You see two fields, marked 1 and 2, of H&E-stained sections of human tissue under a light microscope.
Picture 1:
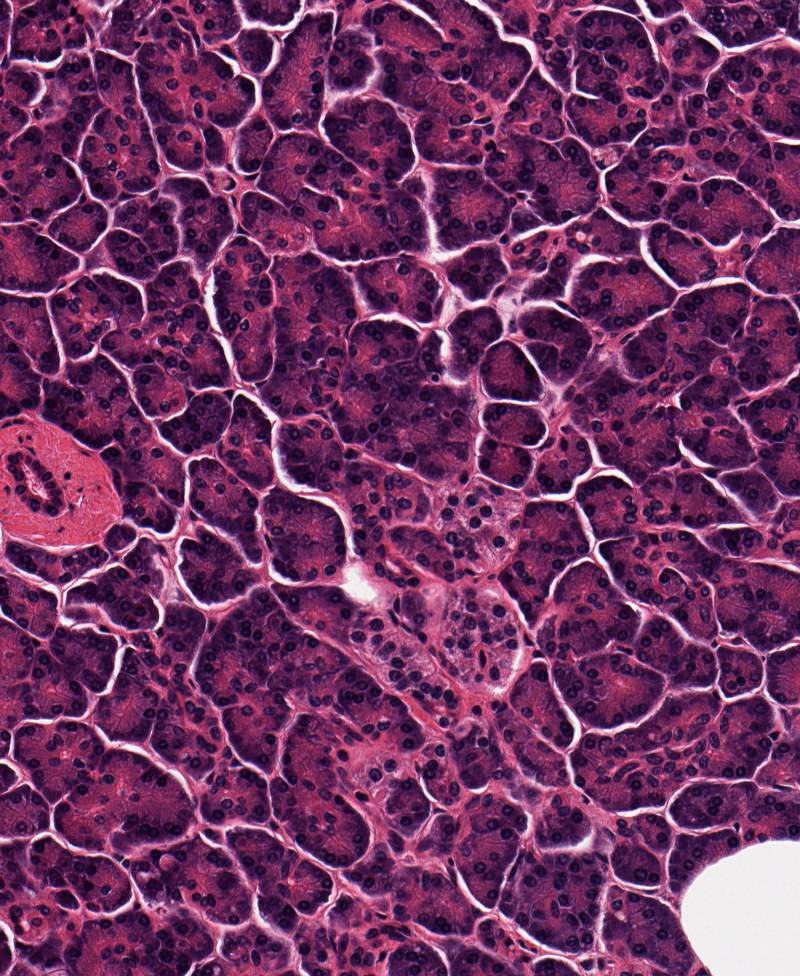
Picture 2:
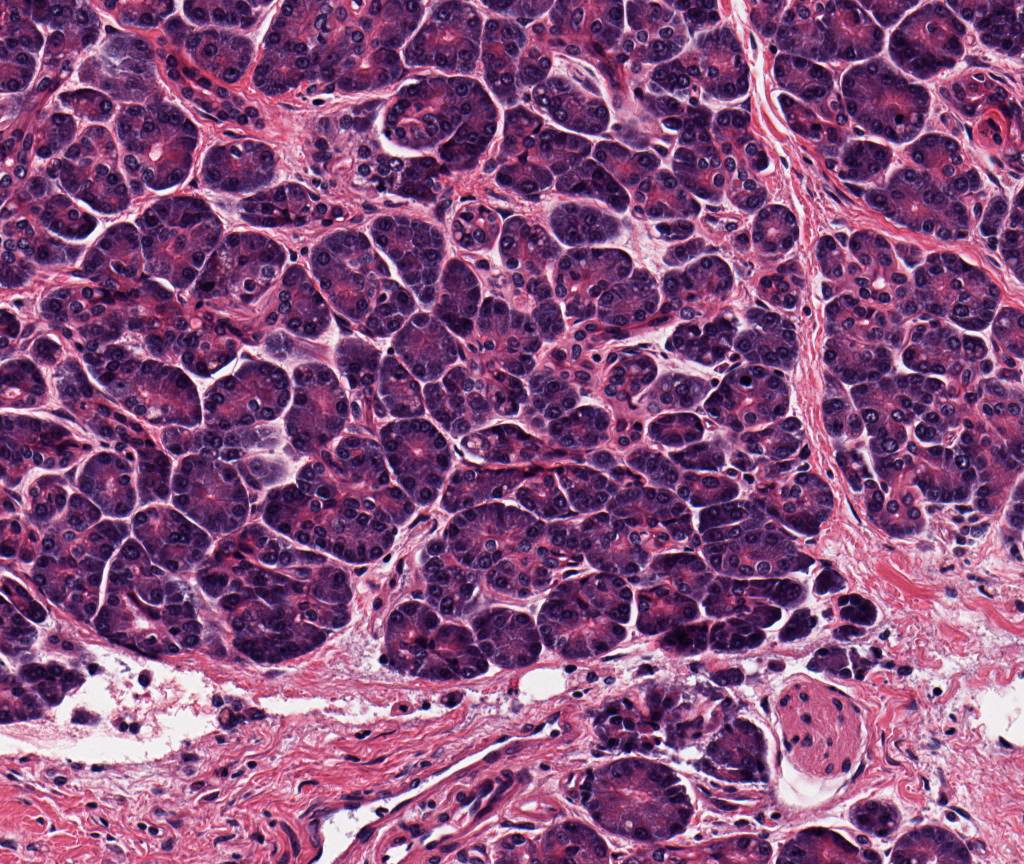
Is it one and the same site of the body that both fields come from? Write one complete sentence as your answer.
Yes, both come from the pancreas.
